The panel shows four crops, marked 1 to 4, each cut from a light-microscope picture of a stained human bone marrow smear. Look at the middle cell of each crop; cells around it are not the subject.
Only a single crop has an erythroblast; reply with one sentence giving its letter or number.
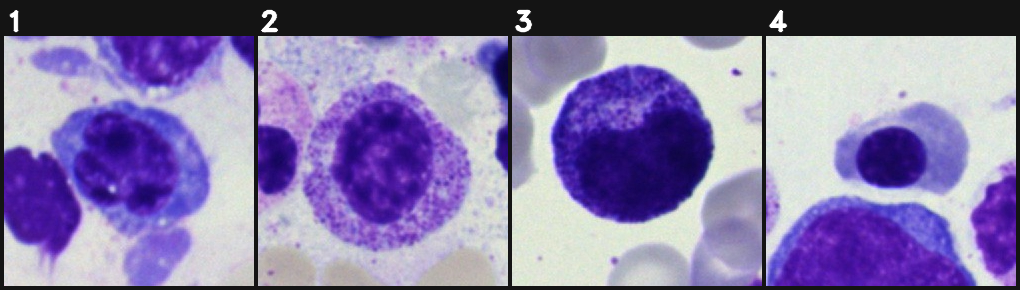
Crop 4 alone, of all the crops, shows an erythroblast.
